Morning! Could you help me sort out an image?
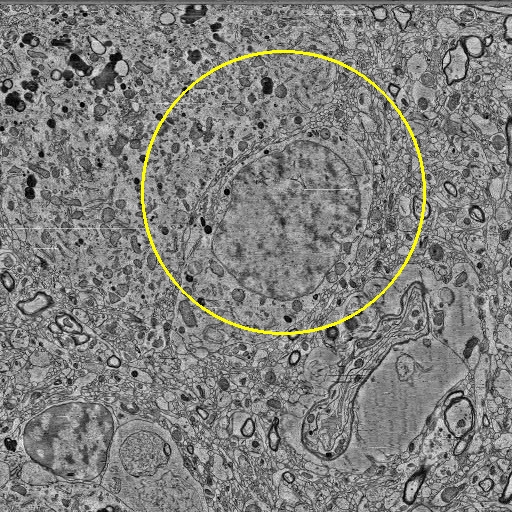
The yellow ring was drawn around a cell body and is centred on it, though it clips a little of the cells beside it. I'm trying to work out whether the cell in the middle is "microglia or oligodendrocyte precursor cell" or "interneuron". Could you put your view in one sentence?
The ringed cell body is that of an interneuron.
